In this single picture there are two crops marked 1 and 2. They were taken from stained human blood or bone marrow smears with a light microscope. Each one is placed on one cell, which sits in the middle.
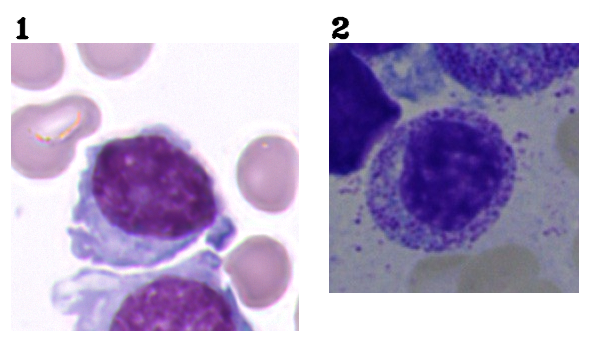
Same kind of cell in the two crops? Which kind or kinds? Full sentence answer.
No, crop 1 shows a plasma cell, and the cell in crop 2 is a myelocyte.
